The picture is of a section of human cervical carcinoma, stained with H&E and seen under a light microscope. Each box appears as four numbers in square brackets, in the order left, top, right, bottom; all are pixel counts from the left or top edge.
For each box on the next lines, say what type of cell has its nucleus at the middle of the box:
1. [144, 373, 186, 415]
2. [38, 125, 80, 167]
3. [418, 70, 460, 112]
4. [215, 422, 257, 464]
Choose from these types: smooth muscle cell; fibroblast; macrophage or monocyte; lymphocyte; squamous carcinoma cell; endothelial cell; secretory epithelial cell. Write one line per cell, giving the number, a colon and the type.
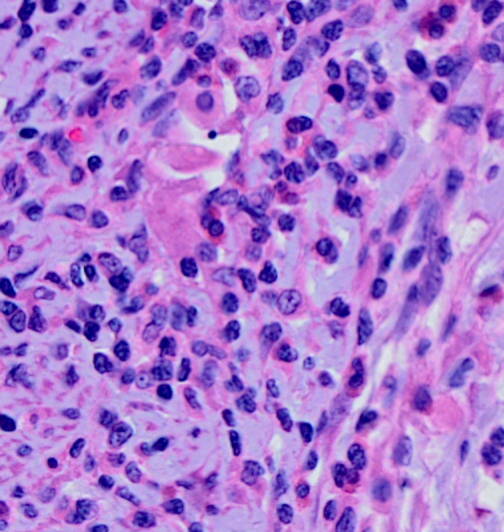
1: lymphocyte
2: endothelial cell
3: lymphocyte
4: lymphocyte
